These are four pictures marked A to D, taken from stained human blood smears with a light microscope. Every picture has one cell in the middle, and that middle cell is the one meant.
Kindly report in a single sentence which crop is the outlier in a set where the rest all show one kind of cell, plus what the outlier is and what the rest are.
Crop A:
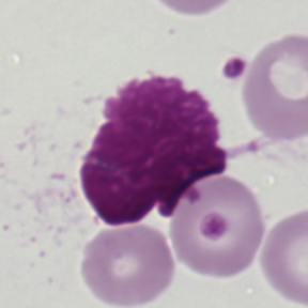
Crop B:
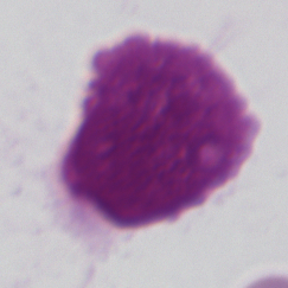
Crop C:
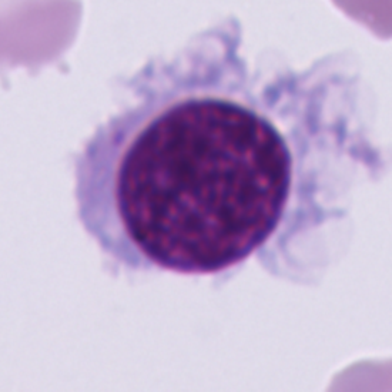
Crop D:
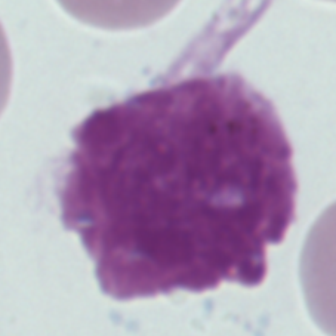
The pattern of smudge cells across the crops is broken only by crop C, which shows a hairy cell.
